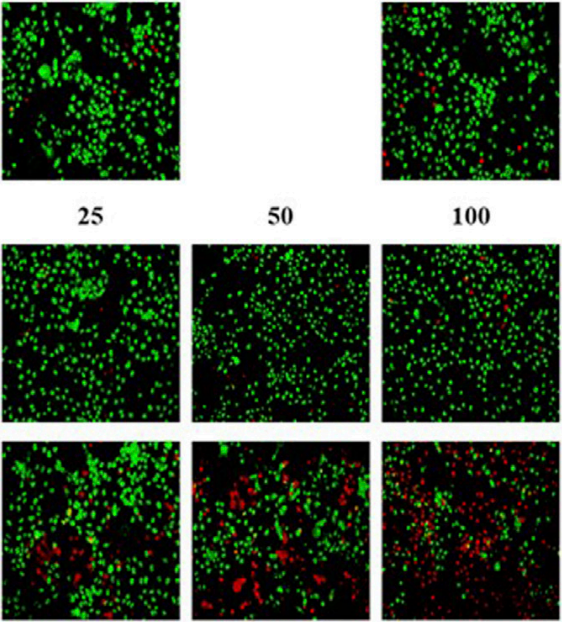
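In the upper fields and the middle row nearly all cells are green, with only occasional red cells among them. In the bottom row red cells become more numerous from left to right and gather in patches; in the rightmost field they make up much of the field. At this magnification the cells show as little more than coloured spots, with no nuclear or cytoplasmic detail resolved.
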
